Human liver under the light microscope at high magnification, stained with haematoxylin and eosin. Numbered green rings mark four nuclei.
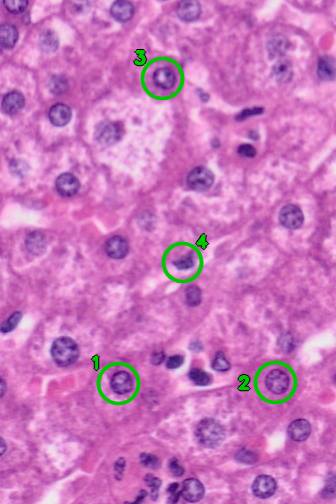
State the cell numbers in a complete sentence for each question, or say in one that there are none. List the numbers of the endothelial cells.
Among the cells marked with numbers, the only one that is an endothelial cell is number 4.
